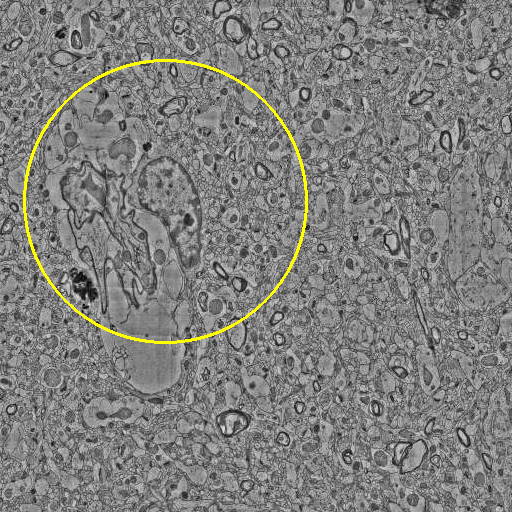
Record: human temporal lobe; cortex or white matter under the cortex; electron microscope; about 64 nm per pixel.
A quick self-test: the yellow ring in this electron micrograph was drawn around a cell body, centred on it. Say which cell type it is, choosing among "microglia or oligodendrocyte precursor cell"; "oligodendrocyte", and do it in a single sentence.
The yellow-ringed cell is an oligodendrocyte.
